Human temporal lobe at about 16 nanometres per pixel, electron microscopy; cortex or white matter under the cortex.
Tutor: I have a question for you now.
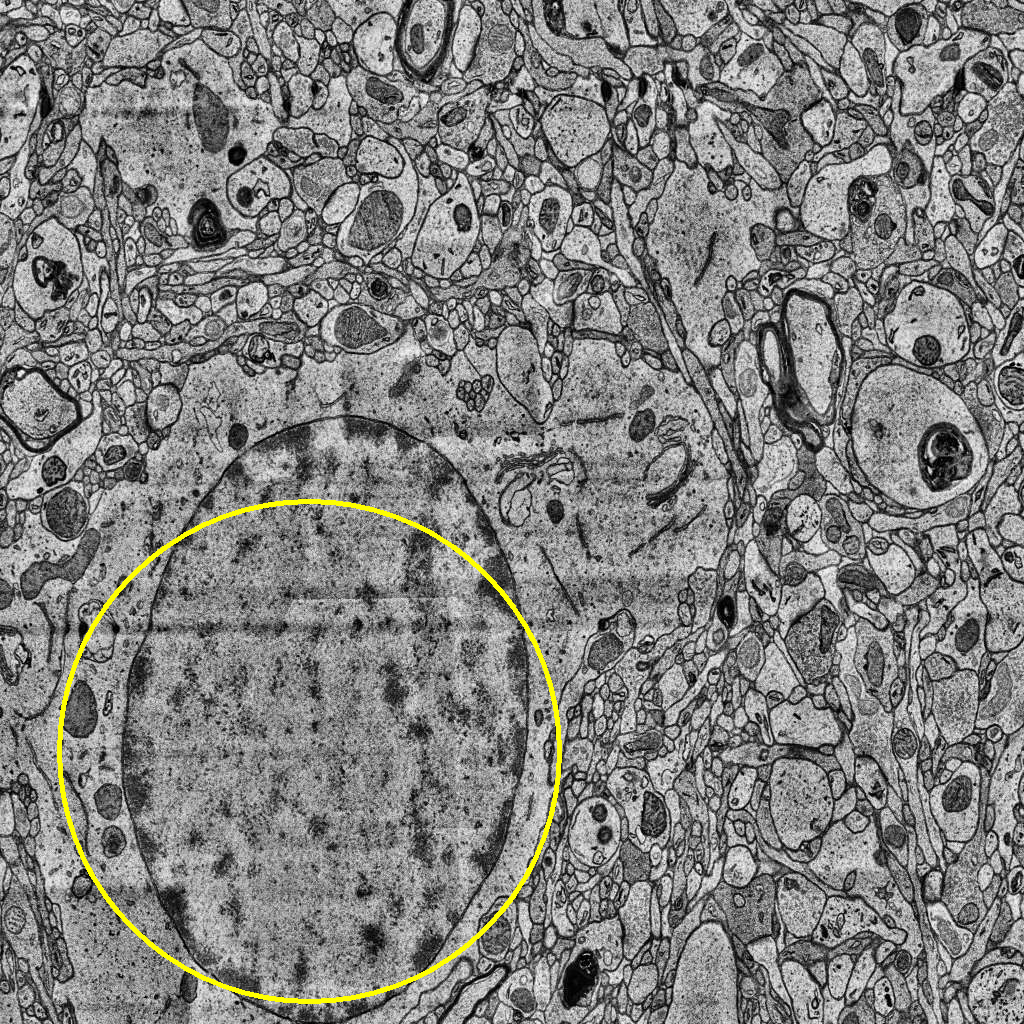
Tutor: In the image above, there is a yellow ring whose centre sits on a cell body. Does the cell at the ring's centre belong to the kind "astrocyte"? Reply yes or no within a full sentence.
Yes, the cell at the centre of the yellow ring in the picture is of that kind.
